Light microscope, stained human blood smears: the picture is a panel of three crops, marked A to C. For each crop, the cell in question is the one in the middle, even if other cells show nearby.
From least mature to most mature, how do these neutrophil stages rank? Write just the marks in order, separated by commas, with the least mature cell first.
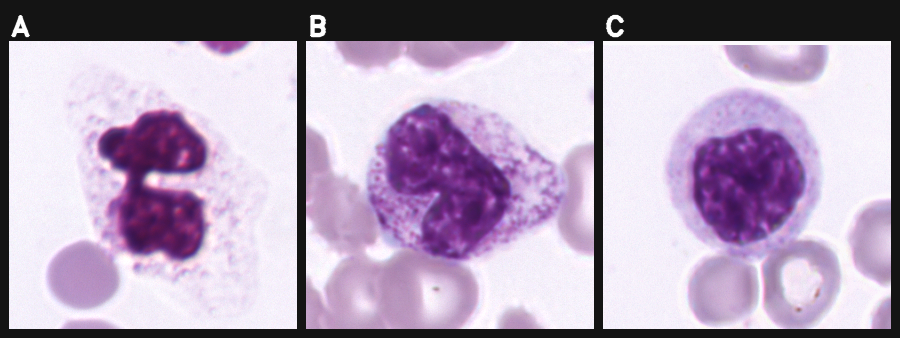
C, B, A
